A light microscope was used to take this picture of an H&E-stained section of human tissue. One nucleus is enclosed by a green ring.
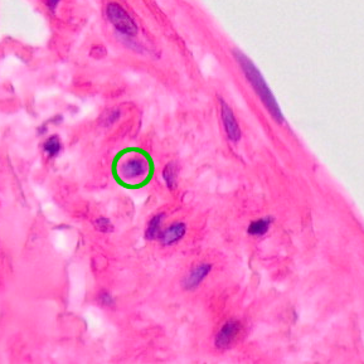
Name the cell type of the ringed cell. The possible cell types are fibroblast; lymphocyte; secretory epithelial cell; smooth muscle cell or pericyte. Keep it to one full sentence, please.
To be brief about it, the ringed cell is a smooth muscle cell or pericyte.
